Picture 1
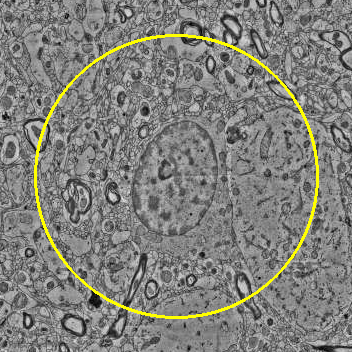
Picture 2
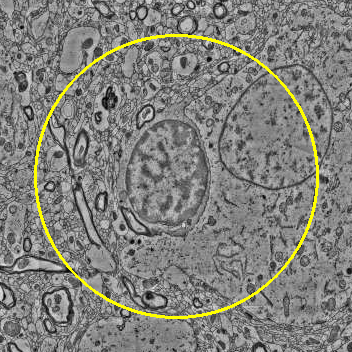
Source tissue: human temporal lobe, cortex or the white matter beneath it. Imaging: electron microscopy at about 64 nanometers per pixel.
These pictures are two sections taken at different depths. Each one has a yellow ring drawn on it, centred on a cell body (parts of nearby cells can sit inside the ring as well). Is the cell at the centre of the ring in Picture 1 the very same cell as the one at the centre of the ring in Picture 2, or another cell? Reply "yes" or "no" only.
yes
